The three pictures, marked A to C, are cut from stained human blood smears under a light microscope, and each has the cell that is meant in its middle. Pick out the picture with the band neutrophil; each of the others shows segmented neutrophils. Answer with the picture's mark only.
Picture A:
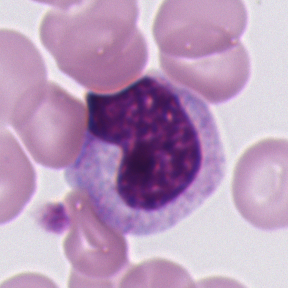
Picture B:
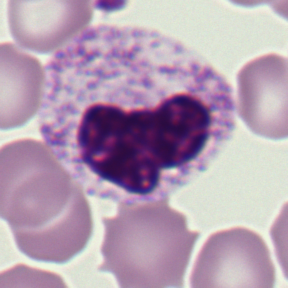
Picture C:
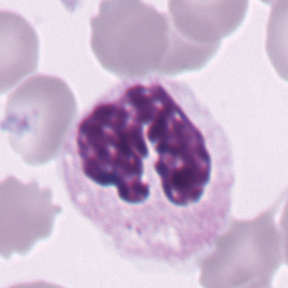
A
